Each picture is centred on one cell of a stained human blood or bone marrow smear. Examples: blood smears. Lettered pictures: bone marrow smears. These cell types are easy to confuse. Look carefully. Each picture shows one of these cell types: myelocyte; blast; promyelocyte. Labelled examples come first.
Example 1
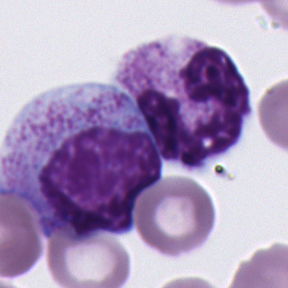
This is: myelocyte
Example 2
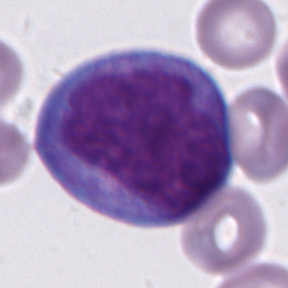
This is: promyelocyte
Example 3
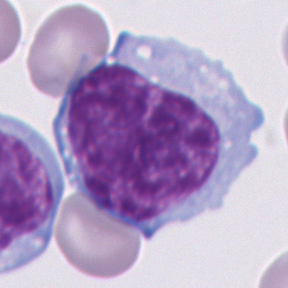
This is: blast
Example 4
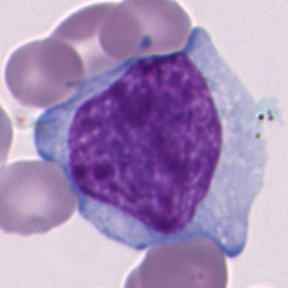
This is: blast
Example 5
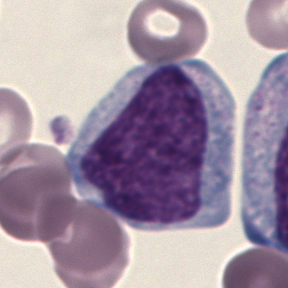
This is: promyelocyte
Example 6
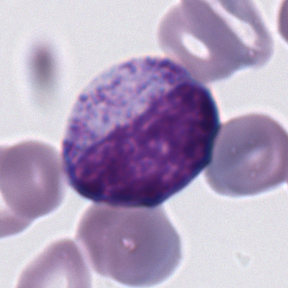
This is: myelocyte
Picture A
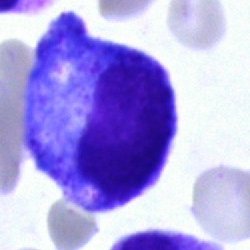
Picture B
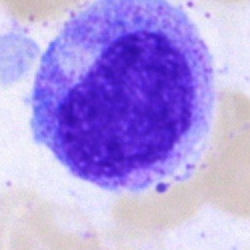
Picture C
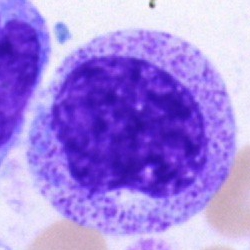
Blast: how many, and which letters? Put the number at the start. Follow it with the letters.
0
